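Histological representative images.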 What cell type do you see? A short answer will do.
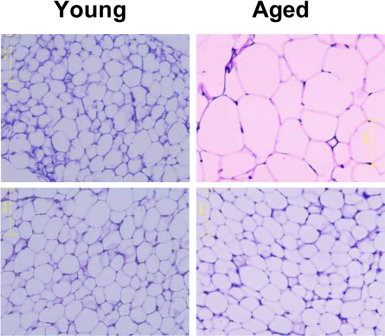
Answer: white adipocytes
